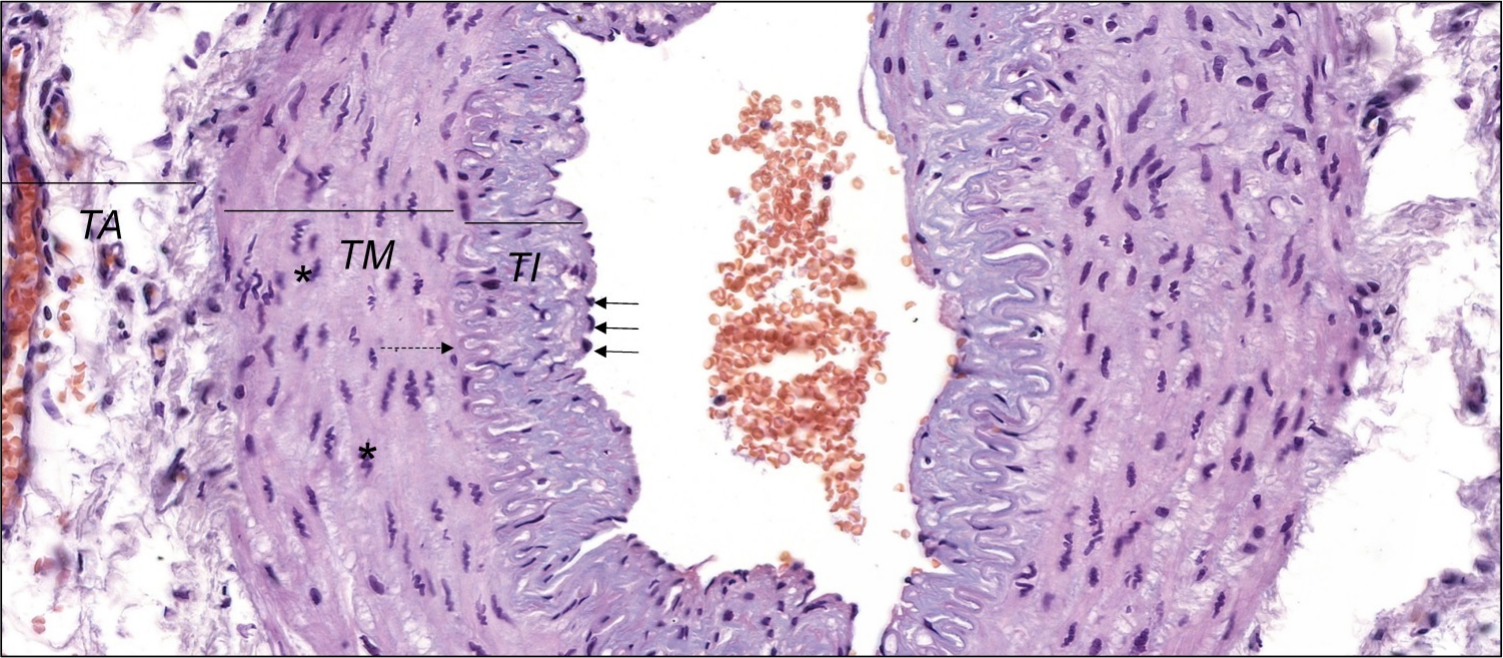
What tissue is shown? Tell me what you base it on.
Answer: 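A vessel with a thick wall made of many layers of elongated nuclei in pink tissue. A lumen holding red blood cells. A wavy, corrugated band on the inner side of the wall.
Hence: muscular artery.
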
